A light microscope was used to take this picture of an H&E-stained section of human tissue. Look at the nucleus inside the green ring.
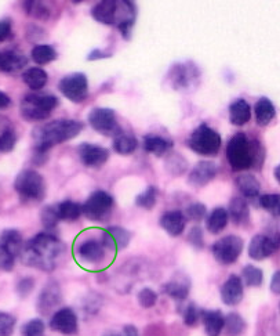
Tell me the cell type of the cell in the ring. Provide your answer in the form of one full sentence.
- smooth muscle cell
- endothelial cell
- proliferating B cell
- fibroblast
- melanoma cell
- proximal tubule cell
In short, the cell in the ring on this section is a proliferating B cell.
